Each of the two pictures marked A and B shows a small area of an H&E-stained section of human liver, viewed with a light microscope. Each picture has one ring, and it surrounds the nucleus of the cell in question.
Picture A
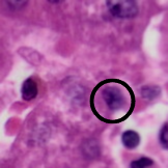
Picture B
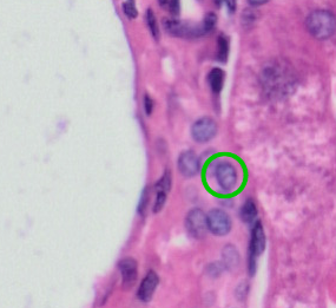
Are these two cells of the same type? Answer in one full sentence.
No. Picture A shows a “fibroblast or stellate cell”, but picture B shows a cholangiocyte.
